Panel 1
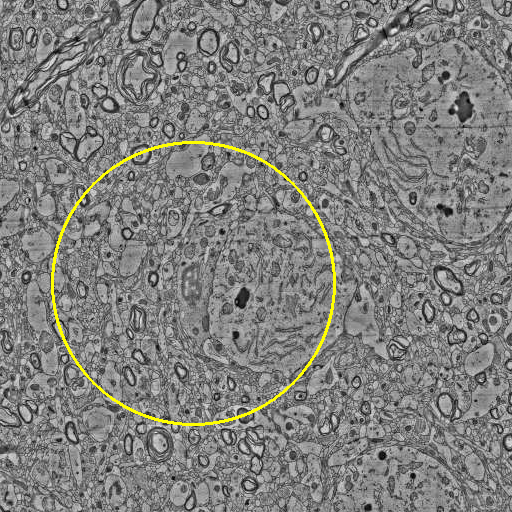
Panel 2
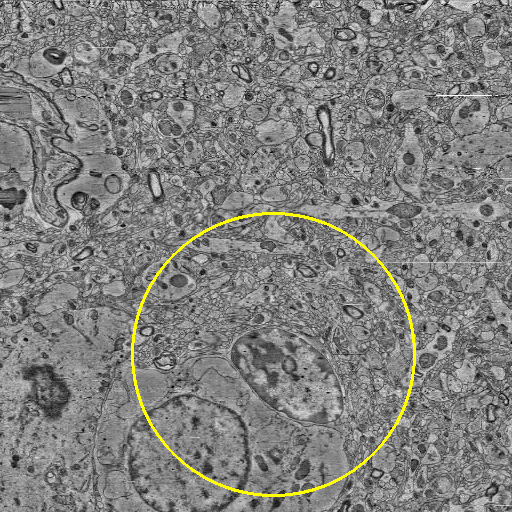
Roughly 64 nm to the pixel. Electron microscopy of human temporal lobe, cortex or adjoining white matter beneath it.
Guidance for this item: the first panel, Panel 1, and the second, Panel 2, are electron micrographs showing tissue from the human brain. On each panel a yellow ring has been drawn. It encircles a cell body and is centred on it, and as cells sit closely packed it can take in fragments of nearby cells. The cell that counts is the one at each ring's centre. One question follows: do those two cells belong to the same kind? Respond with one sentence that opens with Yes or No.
No, the cells at the ring centres in Panel 1 and Panel 2 are of two kinds.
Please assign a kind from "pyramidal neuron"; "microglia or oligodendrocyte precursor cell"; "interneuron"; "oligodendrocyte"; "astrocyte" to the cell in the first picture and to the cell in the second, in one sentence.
In the first picture we have an oligodendrocyte, and in the second, a microglial cell or oligodendrocyte precursor cell.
